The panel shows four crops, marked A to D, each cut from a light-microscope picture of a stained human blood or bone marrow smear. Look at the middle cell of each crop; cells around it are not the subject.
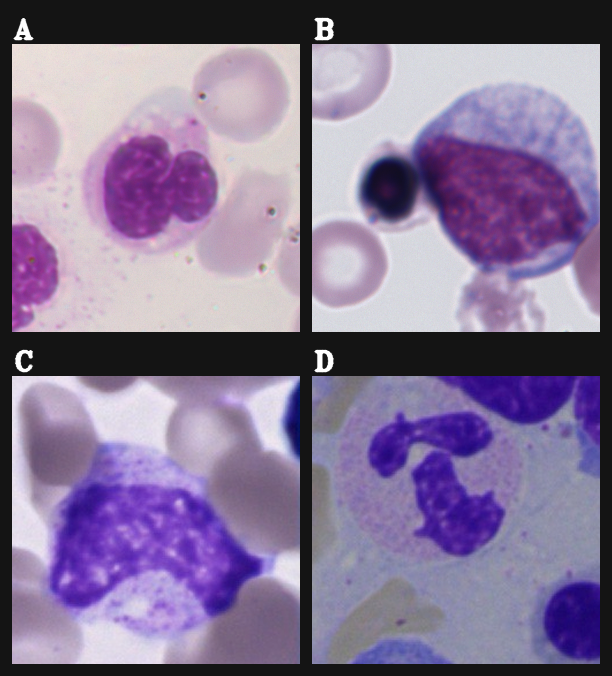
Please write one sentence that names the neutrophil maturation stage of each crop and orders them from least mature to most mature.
The correct order, least to most mature, is crop B (a promyelocyte), crop C (a metamyelocyte), crop A (a band neutrophil) and crop D (a segmented neutrophil).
